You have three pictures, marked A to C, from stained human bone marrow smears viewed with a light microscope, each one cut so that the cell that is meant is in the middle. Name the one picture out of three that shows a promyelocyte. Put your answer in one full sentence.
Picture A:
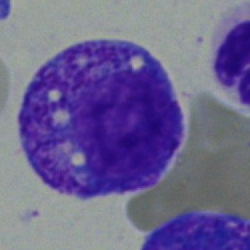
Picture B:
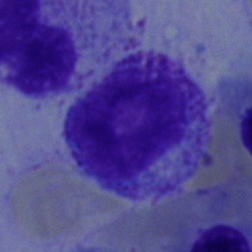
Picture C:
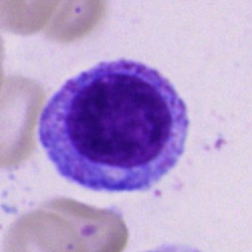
The cell in picture C is the promyelocyte.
